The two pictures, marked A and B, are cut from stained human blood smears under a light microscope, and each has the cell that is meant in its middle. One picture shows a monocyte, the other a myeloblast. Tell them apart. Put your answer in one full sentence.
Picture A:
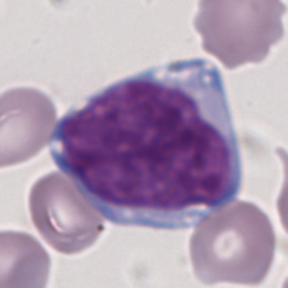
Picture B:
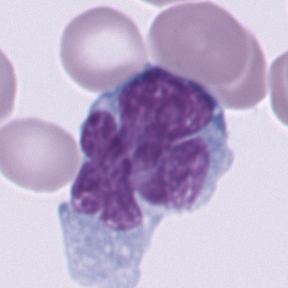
Picture B shows a monocyte, while picture A shows a myeloblast.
